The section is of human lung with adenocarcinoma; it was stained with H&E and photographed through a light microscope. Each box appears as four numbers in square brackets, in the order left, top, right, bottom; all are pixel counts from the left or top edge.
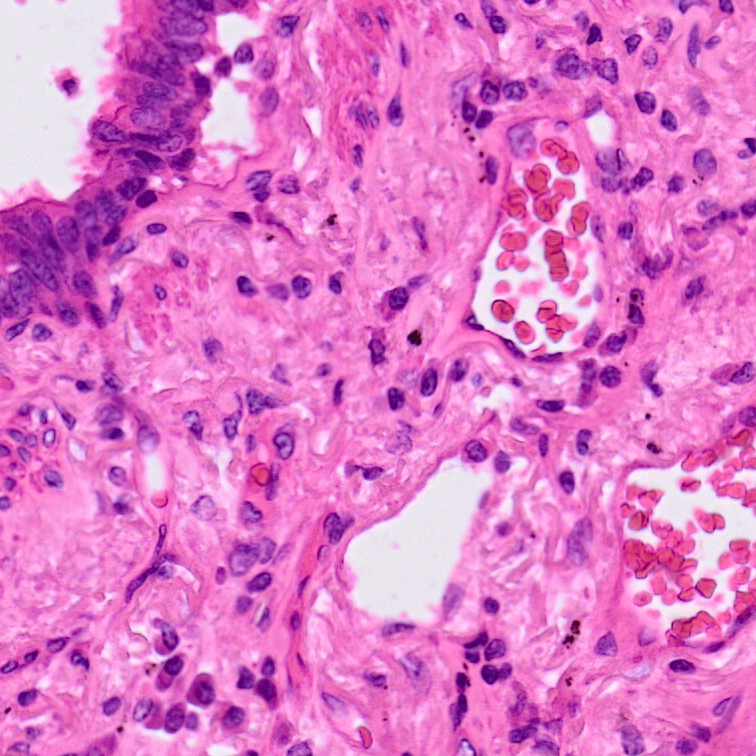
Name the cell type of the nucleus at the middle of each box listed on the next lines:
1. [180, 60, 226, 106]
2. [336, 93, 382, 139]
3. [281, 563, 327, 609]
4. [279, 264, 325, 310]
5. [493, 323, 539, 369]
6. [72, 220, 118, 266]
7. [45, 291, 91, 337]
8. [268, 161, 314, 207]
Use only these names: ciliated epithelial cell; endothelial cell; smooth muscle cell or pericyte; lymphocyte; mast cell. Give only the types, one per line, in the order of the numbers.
ciliated epithelial cell
smooth muscle cell or pericyte
endothelial cell
lymphocyte
endothelial cell
ciliated epithelial cell
ciliated epithelial cell
mast cell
